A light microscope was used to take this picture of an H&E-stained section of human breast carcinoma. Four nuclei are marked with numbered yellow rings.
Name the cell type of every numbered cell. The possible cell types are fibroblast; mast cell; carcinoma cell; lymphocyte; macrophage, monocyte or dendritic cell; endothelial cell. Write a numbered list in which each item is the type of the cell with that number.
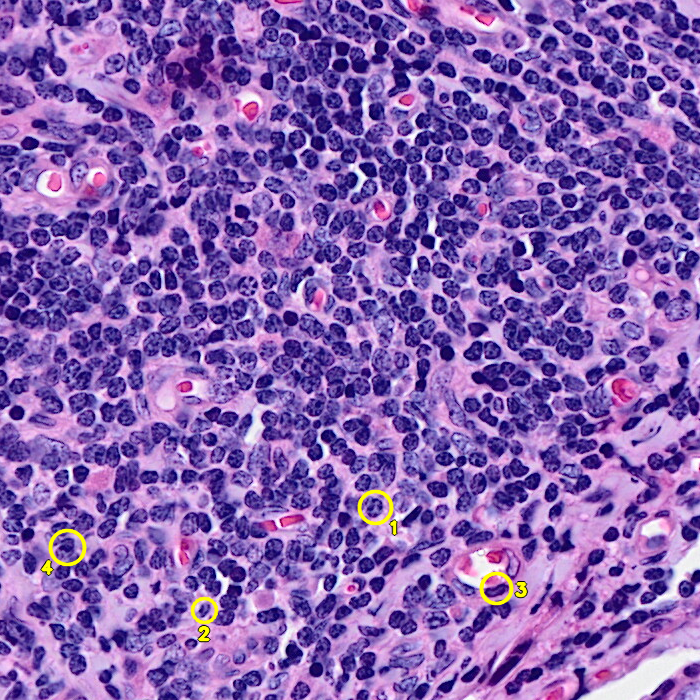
1. lymphocyte
2. lymphocyte
3. endothelial cell
4. lymphocyte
